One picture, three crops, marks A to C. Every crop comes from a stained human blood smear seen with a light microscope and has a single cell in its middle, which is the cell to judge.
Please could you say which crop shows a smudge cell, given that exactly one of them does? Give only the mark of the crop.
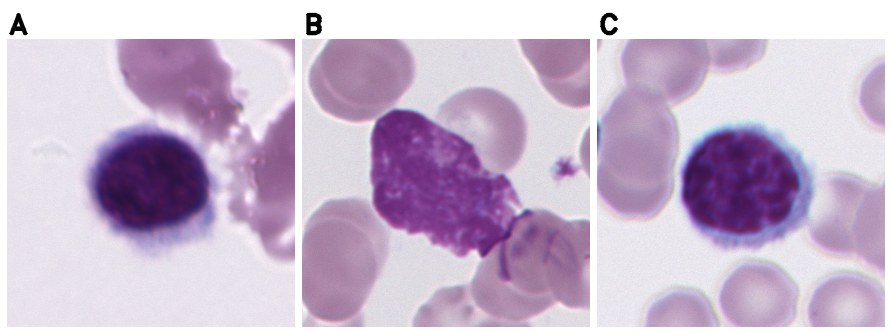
B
